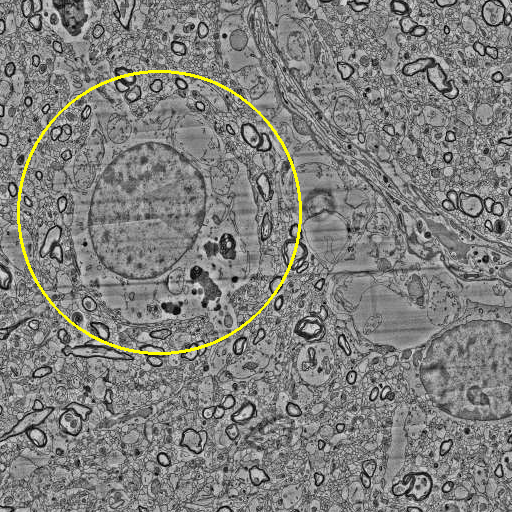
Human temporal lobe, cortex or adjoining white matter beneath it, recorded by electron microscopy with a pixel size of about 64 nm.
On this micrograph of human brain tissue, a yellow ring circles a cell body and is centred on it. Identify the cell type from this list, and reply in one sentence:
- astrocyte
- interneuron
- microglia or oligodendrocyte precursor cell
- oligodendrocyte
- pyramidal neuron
The cell at the centre is an astrocyte.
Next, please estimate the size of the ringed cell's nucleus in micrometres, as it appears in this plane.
Roughly 9 by 7 micrometres is the size of the nucleus in this plane.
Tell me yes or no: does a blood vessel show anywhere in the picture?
Yes, there is a blood vessel.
